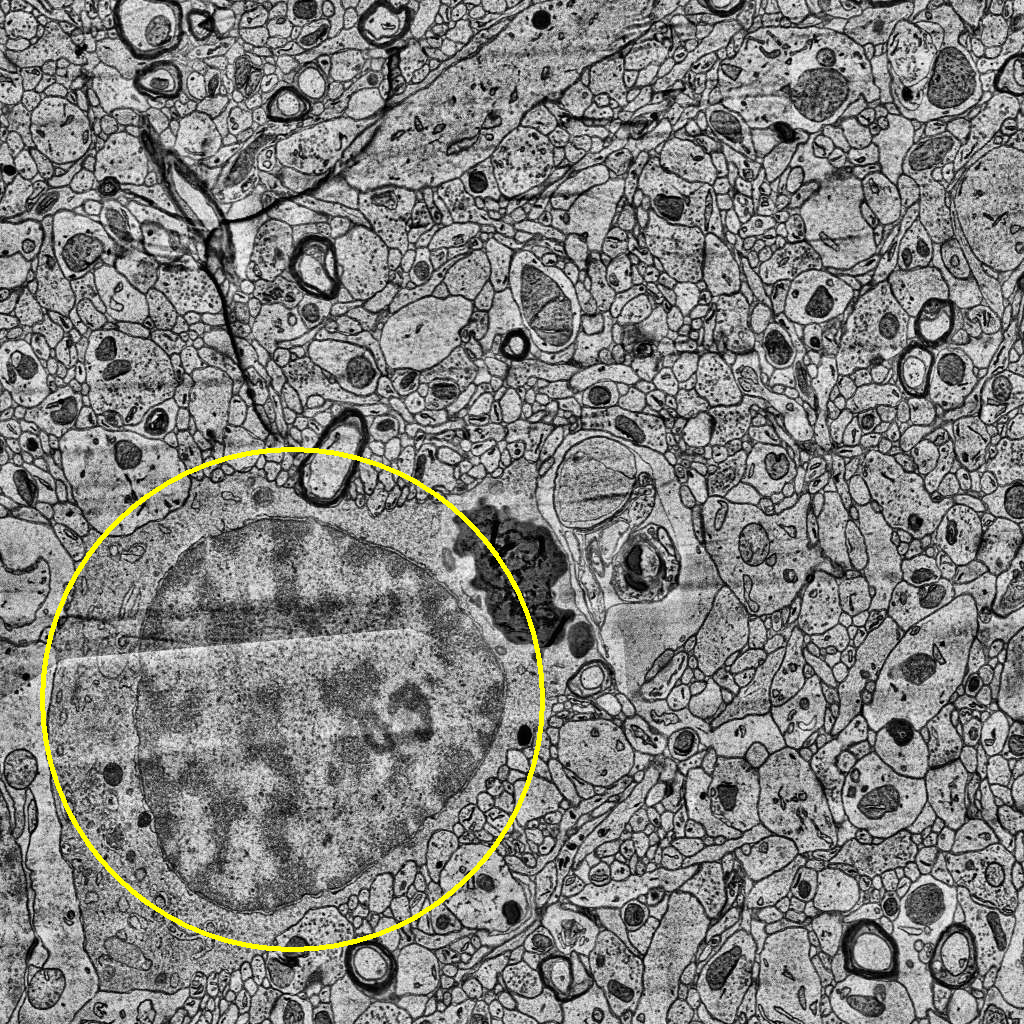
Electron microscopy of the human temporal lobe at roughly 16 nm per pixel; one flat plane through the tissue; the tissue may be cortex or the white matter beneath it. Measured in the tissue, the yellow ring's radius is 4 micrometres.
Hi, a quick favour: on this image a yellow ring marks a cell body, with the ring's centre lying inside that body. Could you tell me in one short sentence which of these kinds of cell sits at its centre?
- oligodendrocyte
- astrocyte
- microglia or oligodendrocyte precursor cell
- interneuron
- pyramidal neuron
The ring's centre lies in an oligodendrocyte.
